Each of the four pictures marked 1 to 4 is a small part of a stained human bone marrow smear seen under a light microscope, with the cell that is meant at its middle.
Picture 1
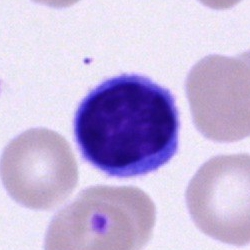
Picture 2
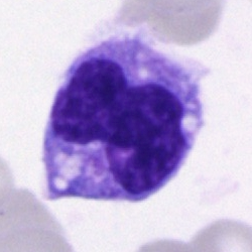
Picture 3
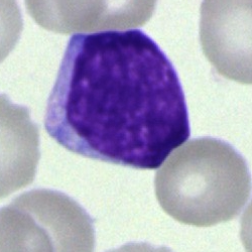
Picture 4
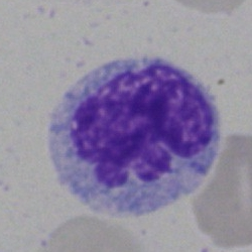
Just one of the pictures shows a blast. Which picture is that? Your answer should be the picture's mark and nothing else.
3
